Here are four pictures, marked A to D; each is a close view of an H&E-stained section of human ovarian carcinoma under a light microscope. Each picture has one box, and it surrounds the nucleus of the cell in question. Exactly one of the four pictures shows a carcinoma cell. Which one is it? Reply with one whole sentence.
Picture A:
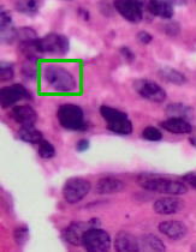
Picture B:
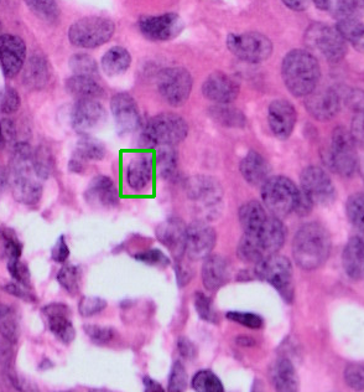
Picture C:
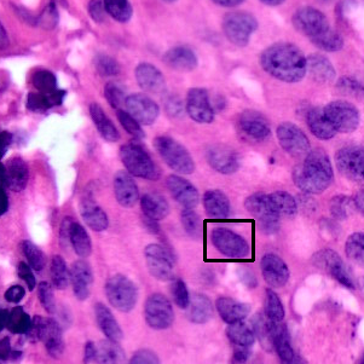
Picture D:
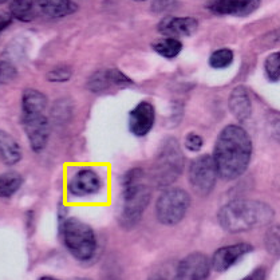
Picture C is the one that shows the carcinoma cell.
